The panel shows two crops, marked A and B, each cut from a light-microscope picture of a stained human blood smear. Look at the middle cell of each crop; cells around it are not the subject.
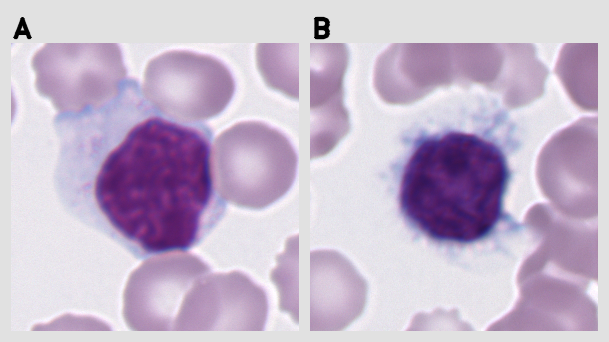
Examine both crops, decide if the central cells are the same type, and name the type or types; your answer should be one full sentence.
No, crop A depicts a typical lymphocyte; crop B depicts a hairy cell.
